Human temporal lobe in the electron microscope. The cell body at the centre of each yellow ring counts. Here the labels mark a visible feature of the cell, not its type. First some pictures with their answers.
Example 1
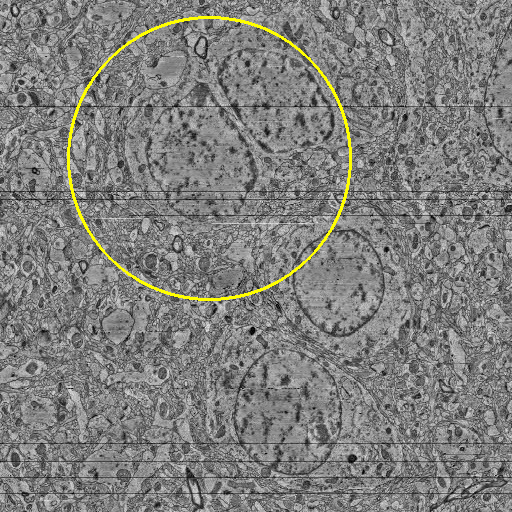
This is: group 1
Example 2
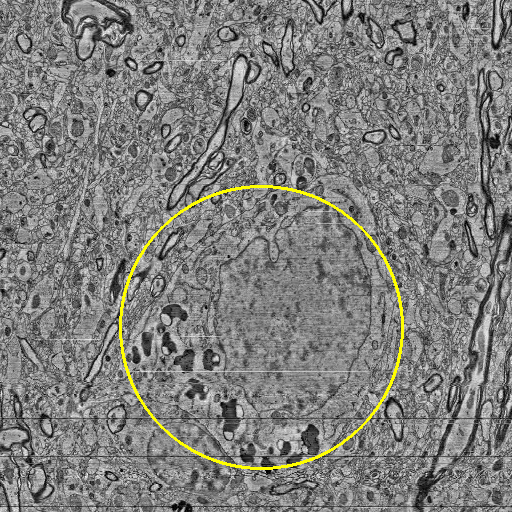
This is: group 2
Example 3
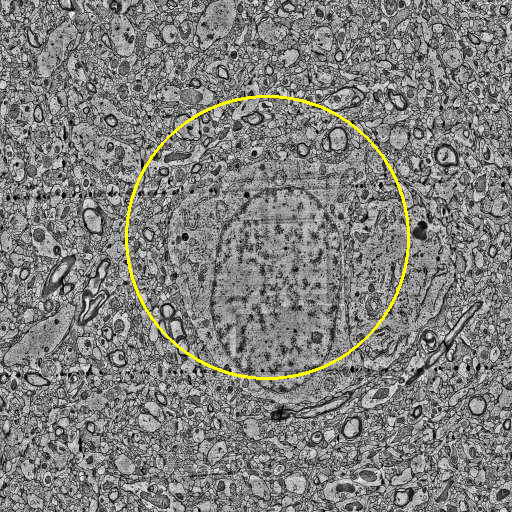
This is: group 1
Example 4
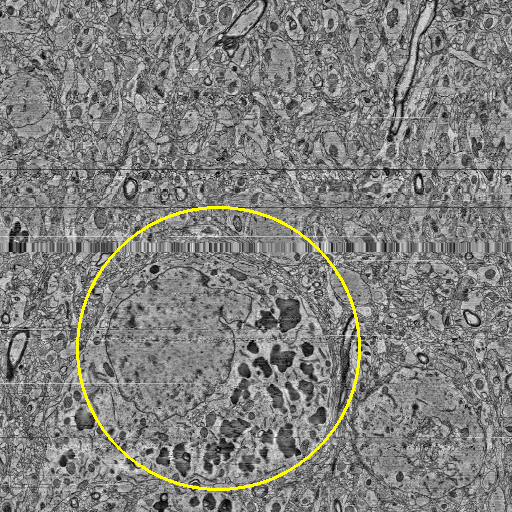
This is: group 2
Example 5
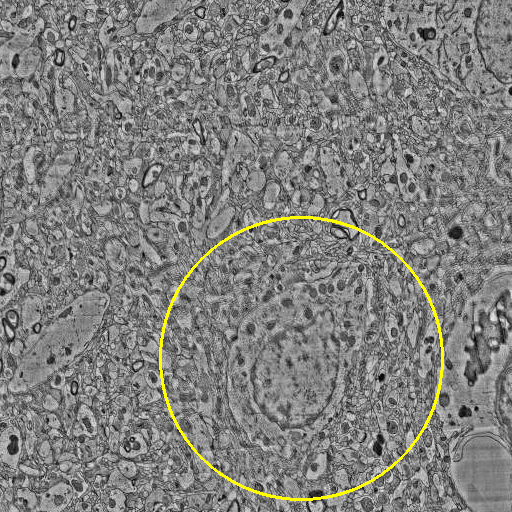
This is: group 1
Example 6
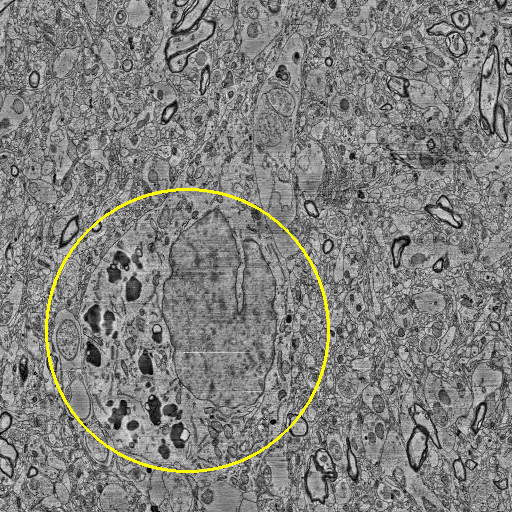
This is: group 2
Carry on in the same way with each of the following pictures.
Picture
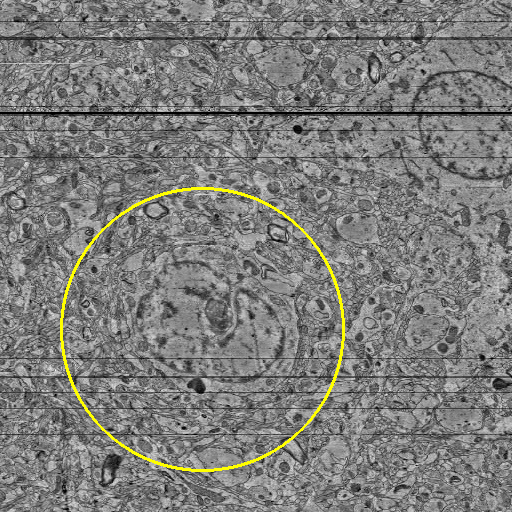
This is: group 2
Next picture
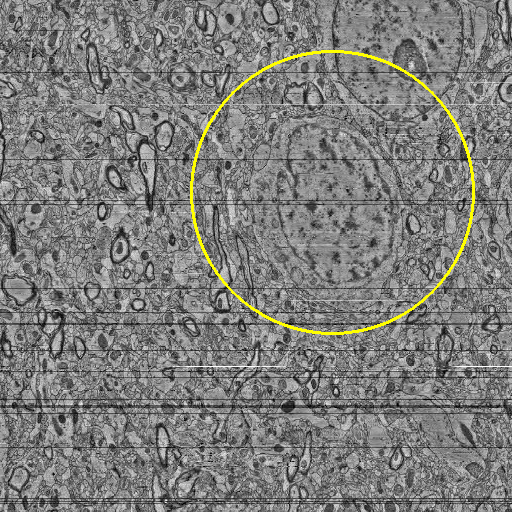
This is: group 1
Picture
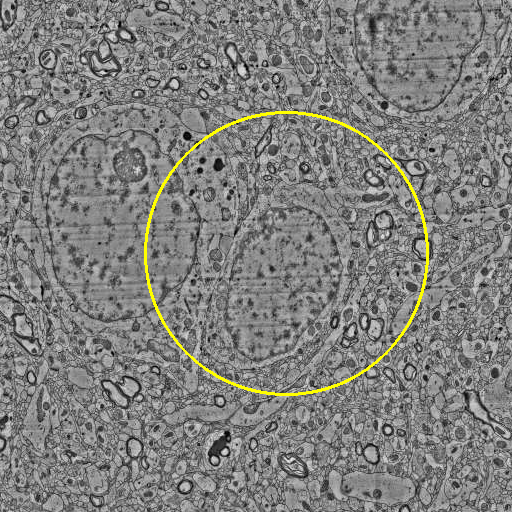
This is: group 1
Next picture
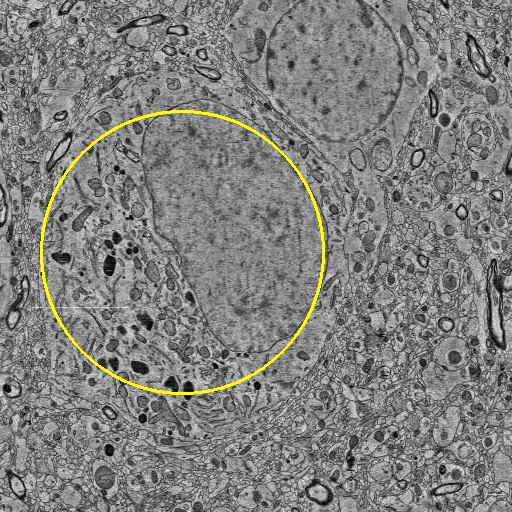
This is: group 1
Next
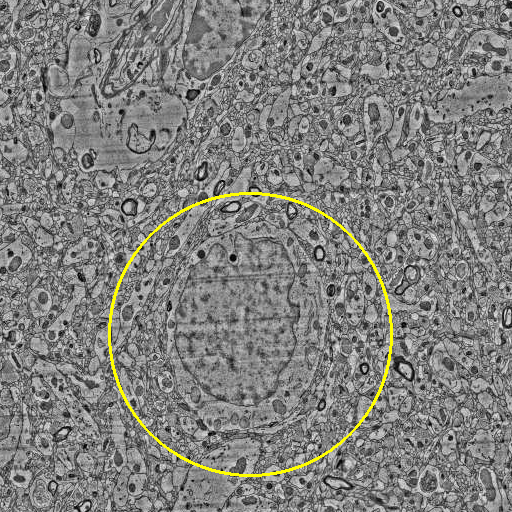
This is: group 2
